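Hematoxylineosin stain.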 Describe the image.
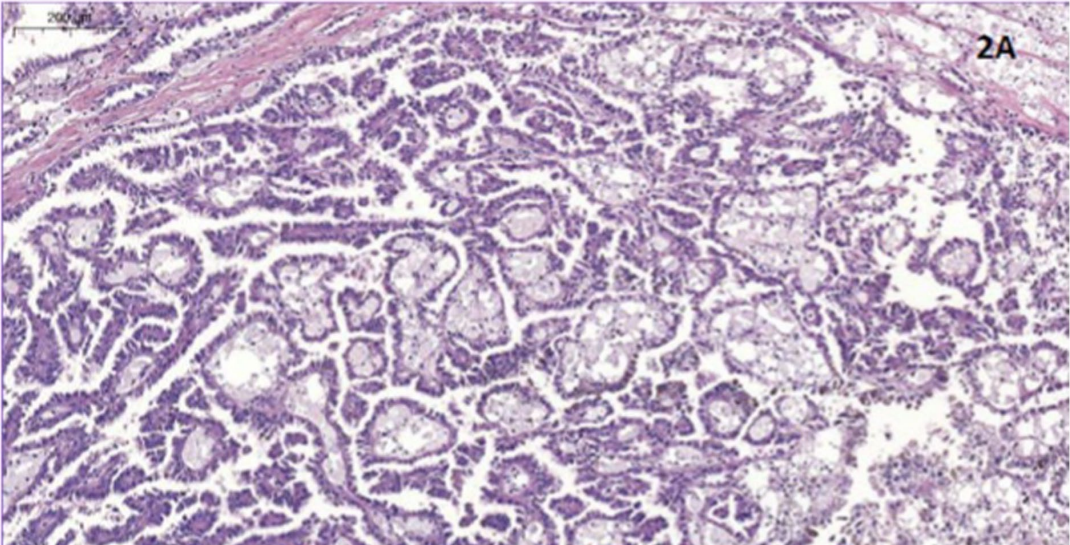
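This is a tumour built of many branching papillary fronds lined by a single row of small cuboidal cells with dark purple nuclei. The fronds are separated by open clear spaces, giving a lace-like pattern across the field. Many of the frond cores are filled with pale cells whose cytoplasm looks bubbly and foamy, consistent with foamy macrophages. Along the upper left edge runs a band of pink fibrous tissue. The overall pattern is that of a papillary carcinoma.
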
